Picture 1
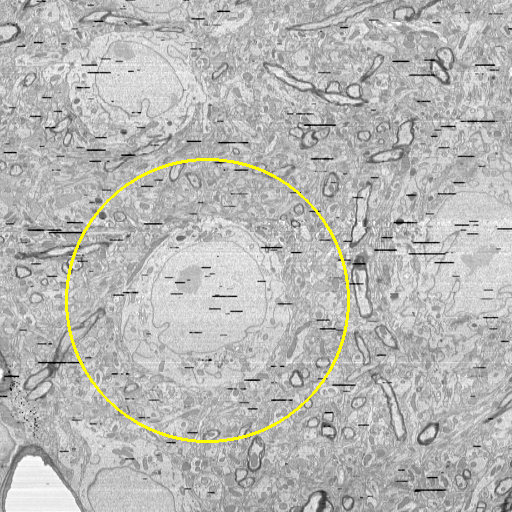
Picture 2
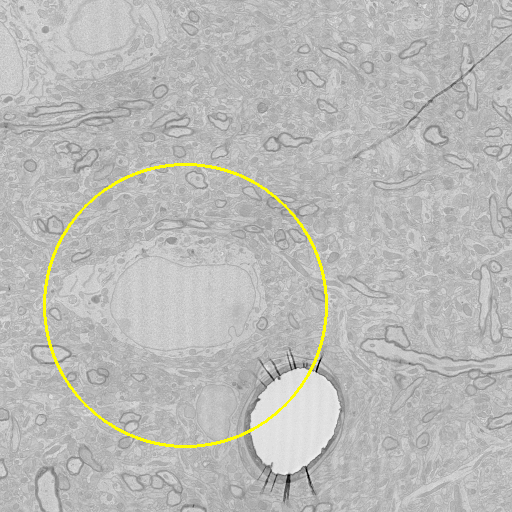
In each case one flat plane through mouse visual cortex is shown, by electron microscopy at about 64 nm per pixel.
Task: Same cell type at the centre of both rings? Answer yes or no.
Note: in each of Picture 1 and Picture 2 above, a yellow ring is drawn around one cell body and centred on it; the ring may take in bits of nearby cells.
yes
